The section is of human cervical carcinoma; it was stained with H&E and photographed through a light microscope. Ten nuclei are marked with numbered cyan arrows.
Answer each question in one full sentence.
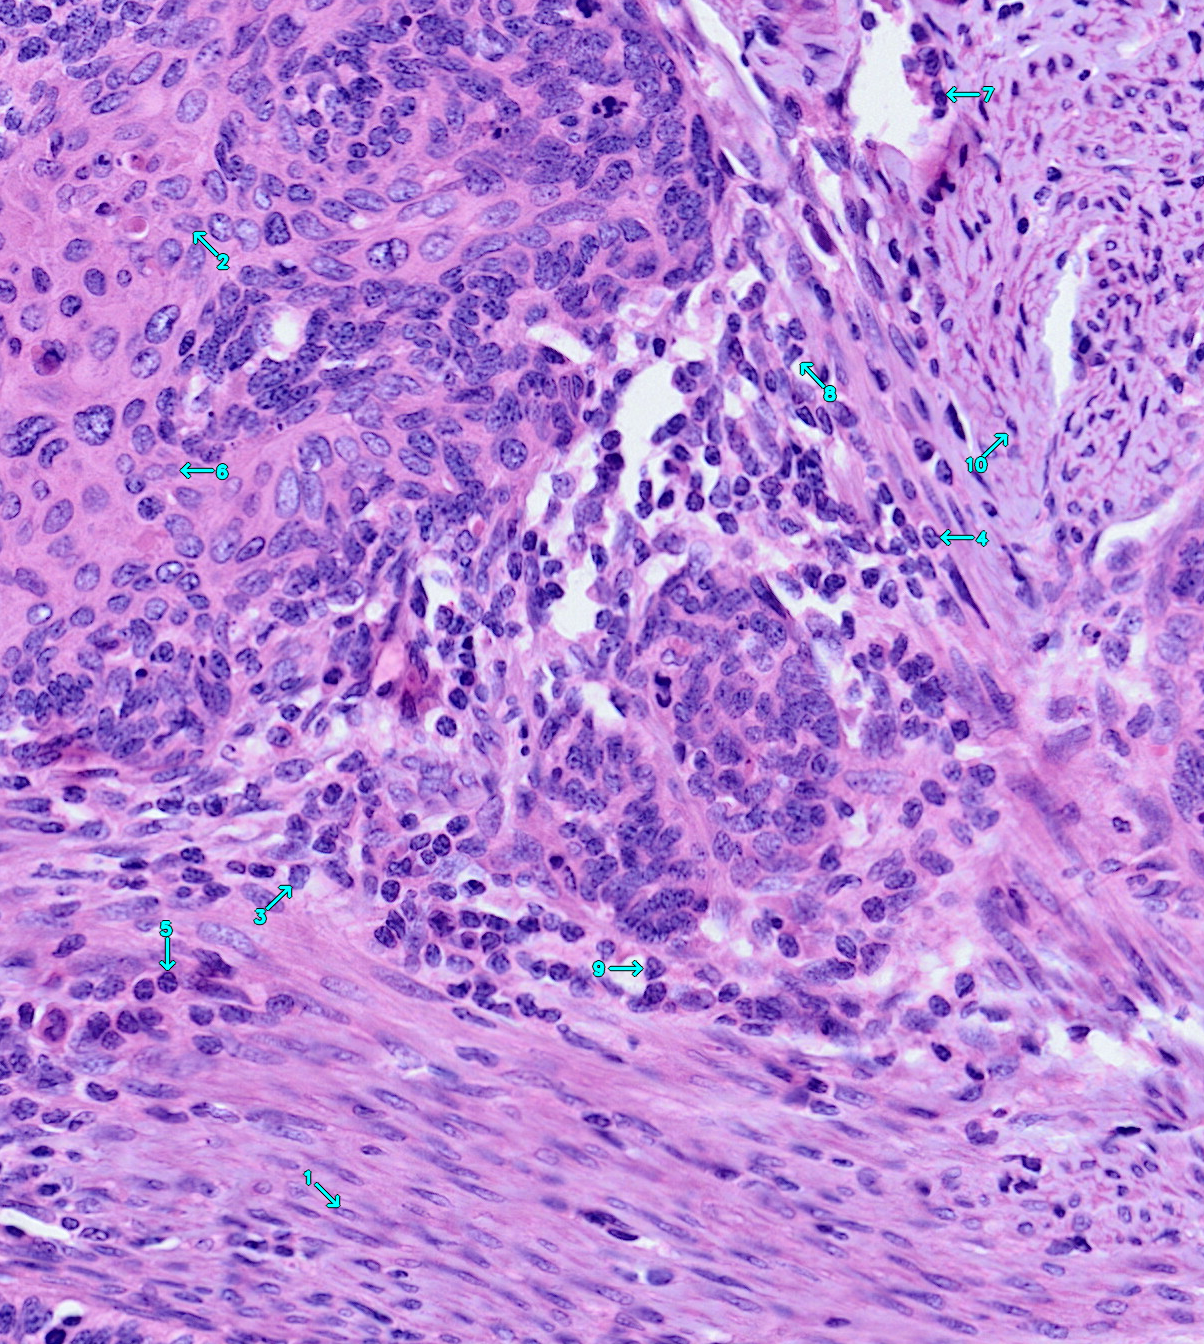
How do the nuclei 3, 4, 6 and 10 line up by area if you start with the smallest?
By area, going up from the smallest, they rank 10, 6, 4, 3.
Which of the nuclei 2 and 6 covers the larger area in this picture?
Number 2 is larger; its area is about 2 times that of number 6.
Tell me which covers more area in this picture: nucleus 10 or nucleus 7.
At about 2.5 times the area of nucleus 10, nucleus 7 is the larger of the two.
